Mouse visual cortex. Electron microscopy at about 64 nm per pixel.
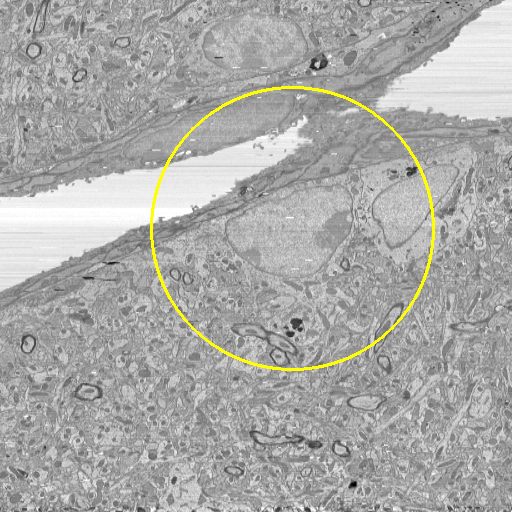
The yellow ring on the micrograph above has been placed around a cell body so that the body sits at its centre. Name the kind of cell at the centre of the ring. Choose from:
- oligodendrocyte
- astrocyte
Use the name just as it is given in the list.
astrocyte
